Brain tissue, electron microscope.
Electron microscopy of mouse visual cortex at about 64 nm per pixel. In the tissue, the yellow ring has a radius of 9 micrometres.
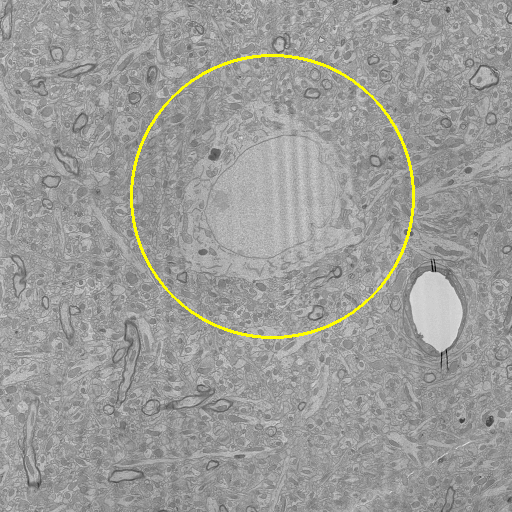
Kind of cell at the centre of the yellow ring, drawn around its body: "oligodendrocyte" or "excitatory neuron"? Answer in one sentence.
The ring's centre falls on an excitatory neuron.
